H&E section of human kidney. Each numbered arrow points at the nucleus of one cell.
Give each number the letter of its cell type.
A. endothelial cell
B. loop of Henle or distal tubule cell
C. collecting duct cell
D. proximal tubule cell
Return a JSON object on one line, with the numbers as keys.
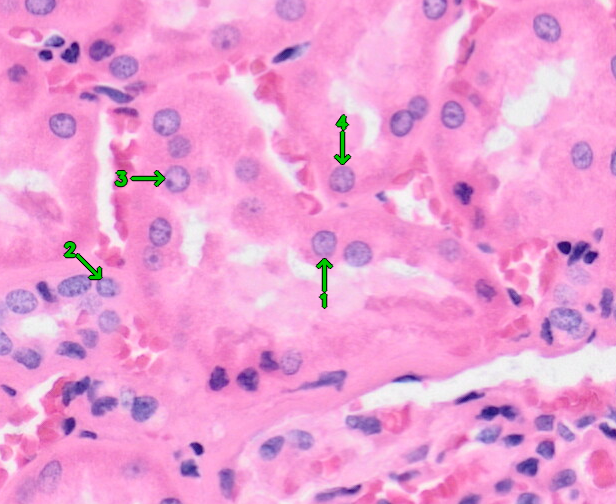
{"1": "D", "2": "C", "3": "D", "4": "D"}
